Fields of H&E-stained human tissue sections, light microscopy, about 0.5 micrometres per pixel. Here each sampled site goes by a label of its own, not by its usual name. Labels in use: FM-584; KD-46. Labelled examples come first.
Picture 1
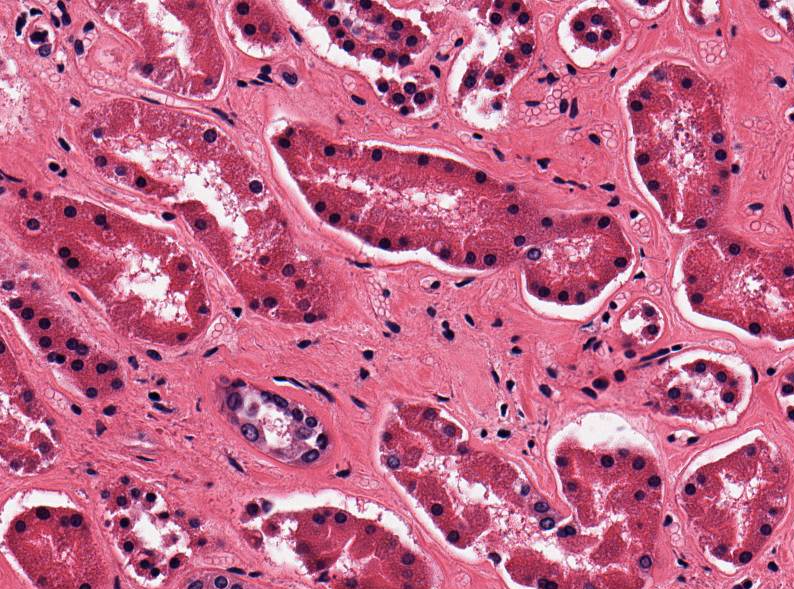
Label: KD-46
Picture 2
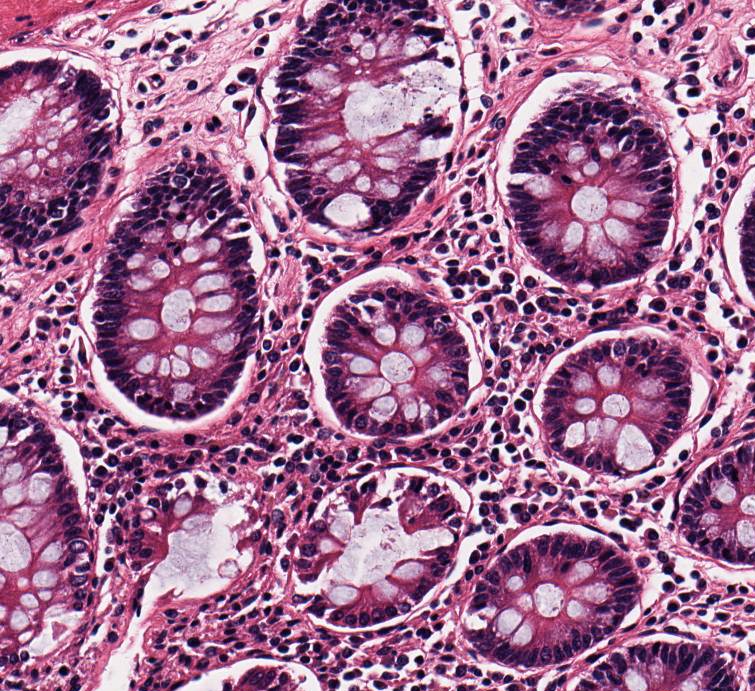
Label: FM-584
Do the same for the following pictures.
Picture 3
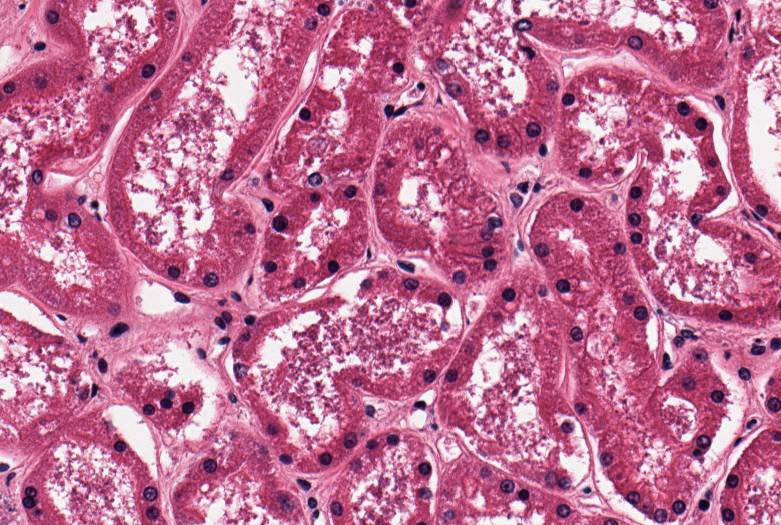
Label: KD-46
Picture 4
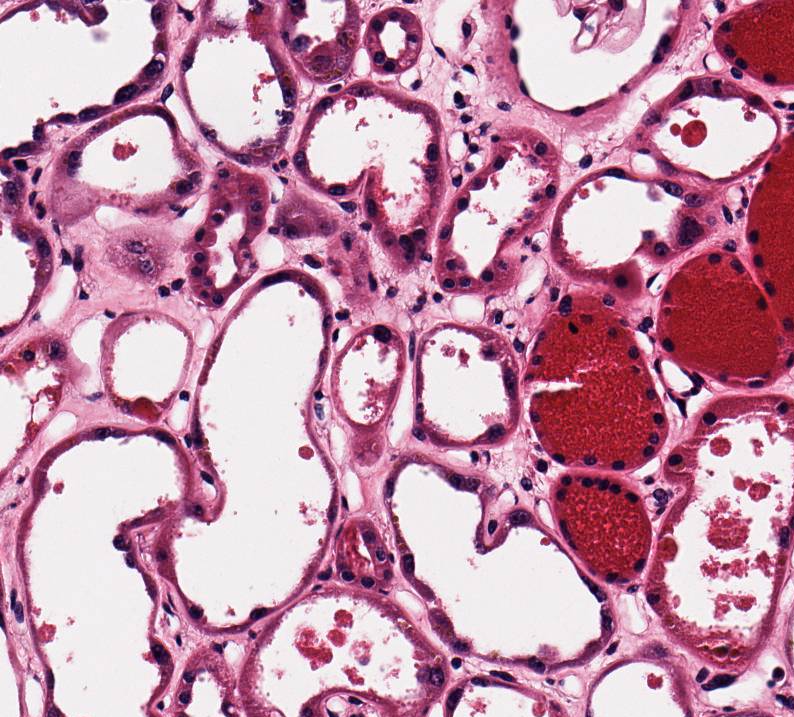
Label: KD-46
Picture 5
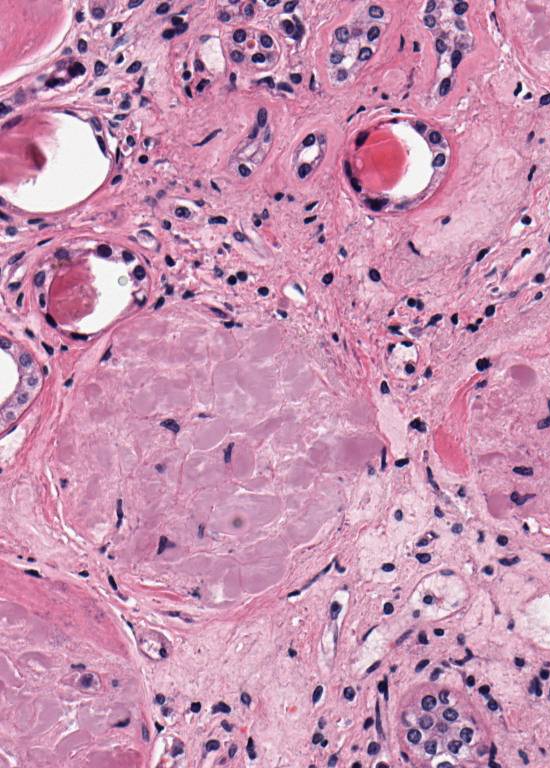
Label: KD-46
